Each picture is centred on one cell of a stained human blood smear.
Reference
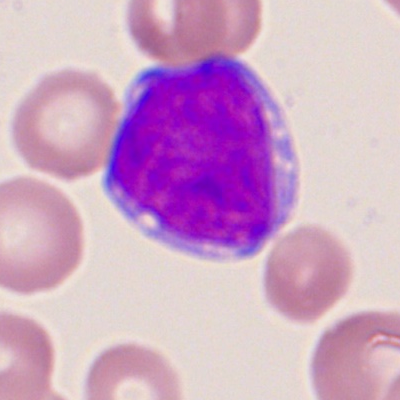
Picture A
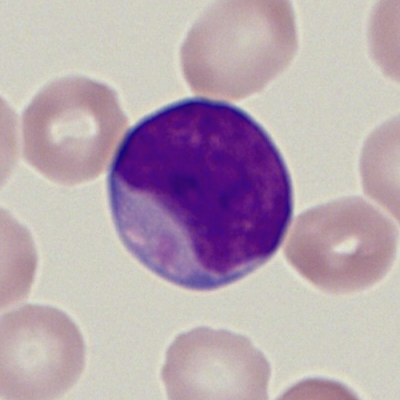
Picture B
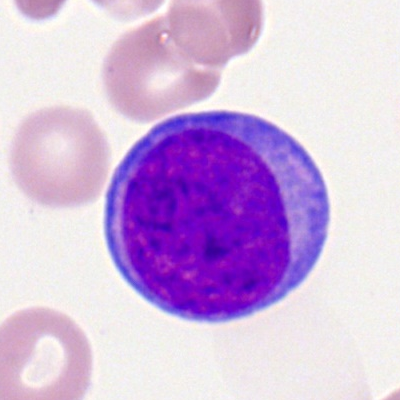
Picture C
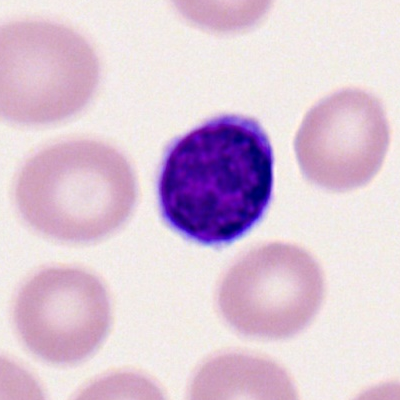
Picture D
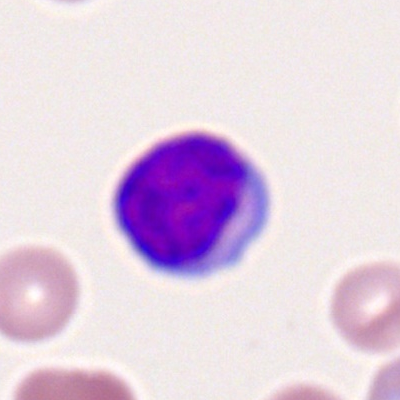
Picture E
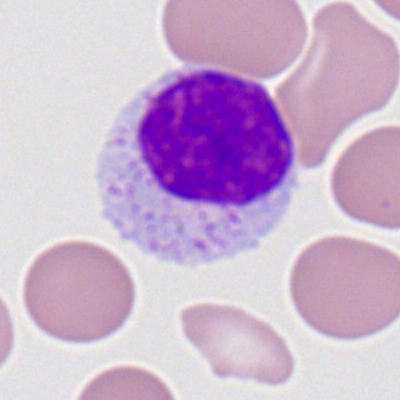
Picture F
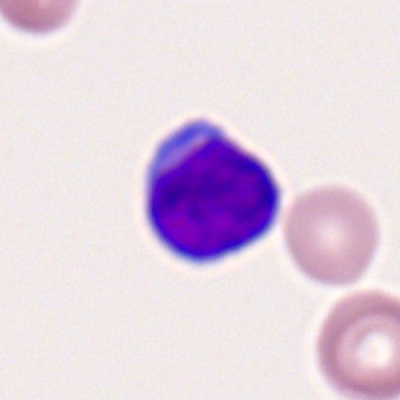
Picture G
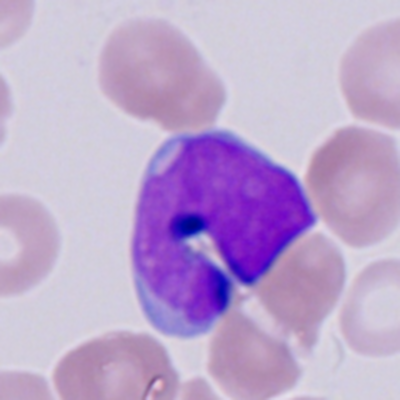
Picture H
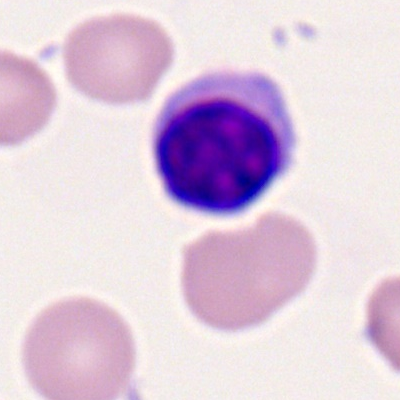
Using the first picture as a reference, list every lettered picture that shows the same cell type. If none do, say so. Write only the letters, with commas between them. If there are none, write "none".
A, B, G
